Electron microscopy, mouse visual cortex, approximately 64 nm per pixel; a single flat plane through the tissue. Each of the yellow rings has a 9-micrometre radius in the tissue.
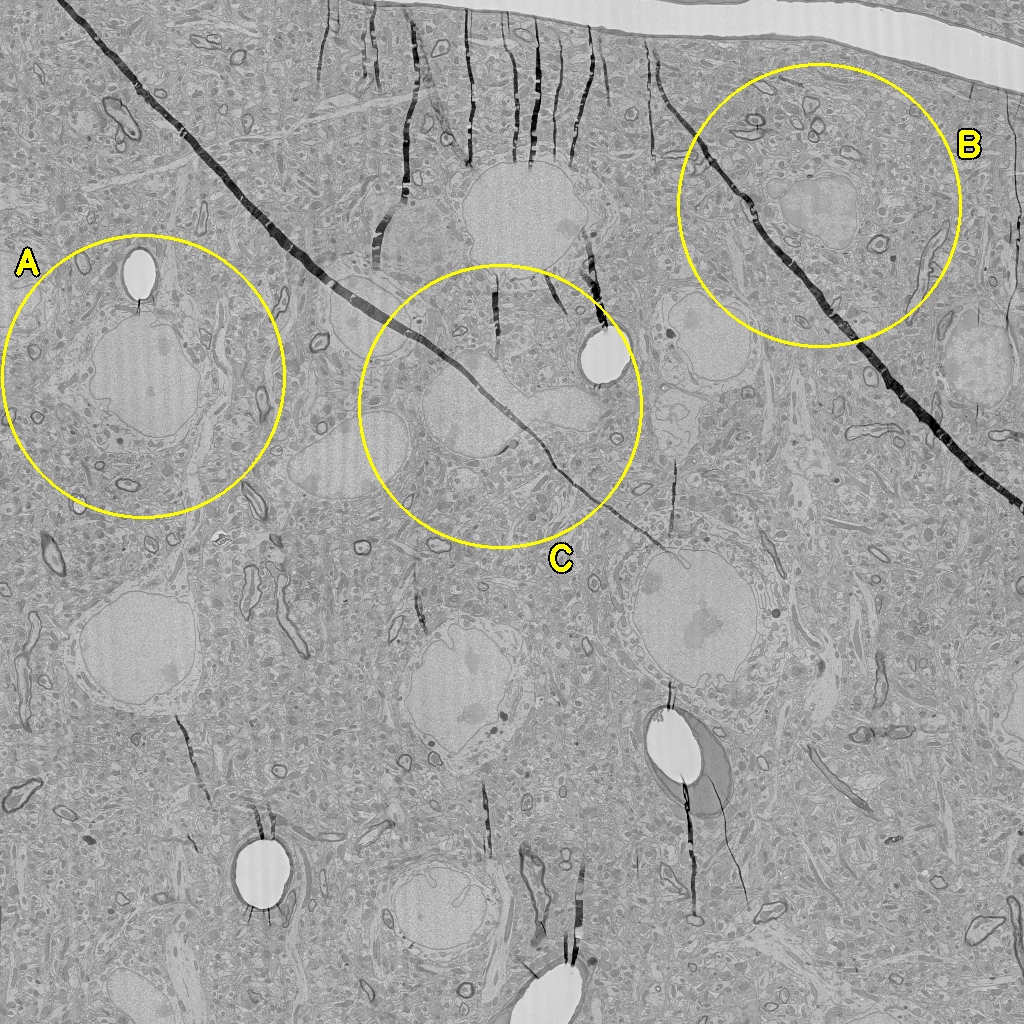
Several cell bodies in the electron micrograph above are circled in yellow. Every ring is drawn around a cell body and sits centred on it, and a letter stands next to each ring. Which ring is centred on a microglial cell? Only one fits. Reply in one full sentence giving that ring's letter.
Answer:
The ring centred on the cell asked for is Ring B.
